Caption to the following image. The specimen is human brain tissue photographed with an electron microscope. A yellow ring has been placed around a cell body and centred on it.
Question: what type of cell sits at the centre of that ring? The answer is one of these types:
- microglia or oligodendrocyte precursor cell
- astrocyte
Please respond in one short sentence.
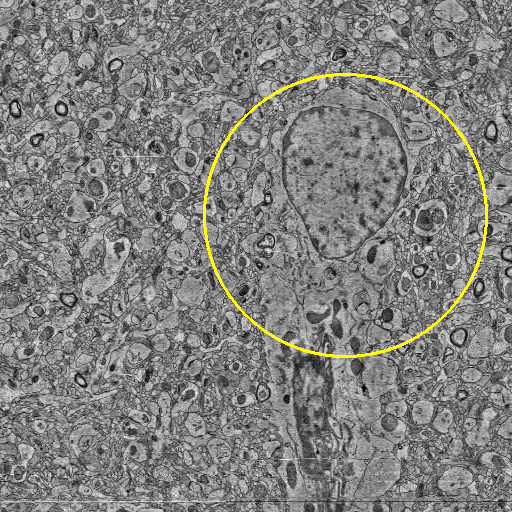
The ring surrounds the cell body of a microglial cell or oligodendrocyte precursor cell.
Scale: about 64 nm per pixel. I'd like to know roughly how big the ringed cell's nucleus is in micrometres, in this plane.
In this plane the nucleus measures roughly 10 by 8 micrometres.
